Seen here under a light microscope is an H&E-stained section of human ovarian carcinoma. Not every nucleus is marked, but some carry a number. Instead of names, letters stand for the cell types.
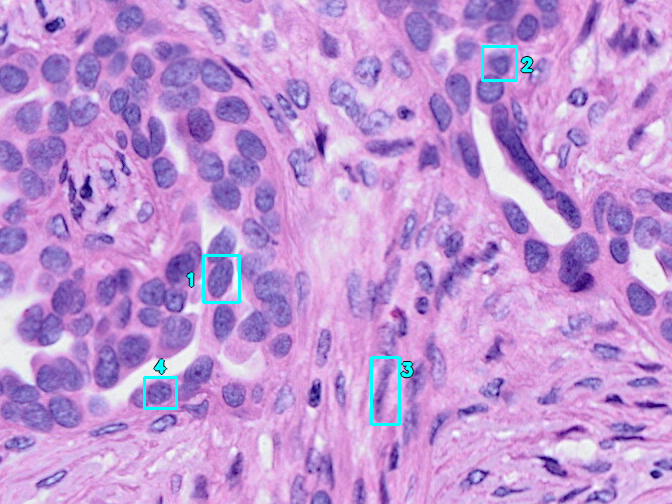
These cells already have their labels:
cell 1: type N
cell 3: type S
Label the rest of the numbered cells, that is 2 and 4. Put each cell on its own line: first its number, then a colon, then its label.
2: type N
4: type N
